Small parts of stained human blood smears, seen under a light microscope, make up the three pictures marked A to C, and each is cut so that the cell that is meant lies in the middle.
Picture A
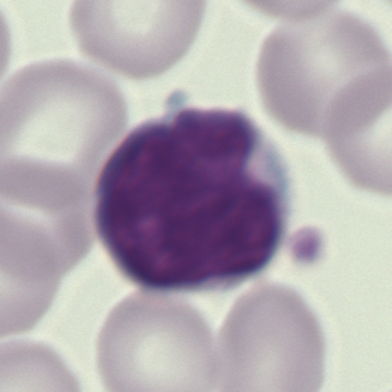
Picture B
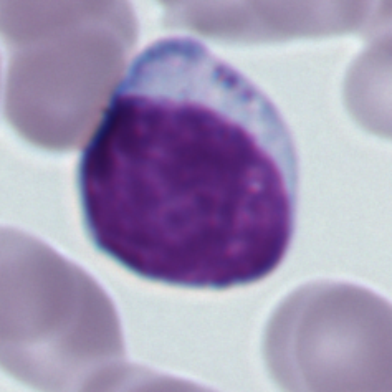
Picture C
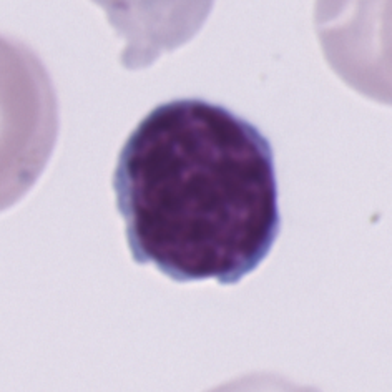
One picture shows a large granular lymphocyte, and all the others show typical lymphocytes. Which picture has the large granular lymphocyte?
B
